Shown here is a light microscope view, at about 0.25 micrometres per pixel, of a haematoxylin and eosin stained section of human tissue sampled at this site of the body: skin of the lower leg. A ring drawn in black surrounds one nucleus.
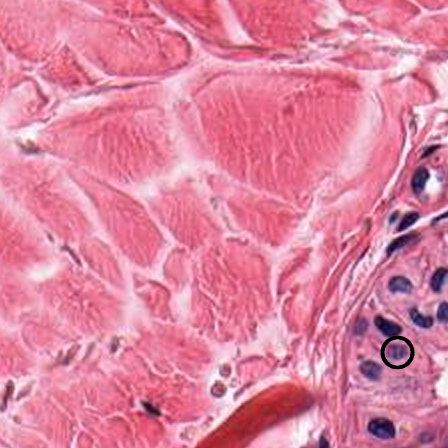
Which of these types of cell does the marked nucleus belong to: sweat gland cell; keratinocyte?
sweat gland cell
